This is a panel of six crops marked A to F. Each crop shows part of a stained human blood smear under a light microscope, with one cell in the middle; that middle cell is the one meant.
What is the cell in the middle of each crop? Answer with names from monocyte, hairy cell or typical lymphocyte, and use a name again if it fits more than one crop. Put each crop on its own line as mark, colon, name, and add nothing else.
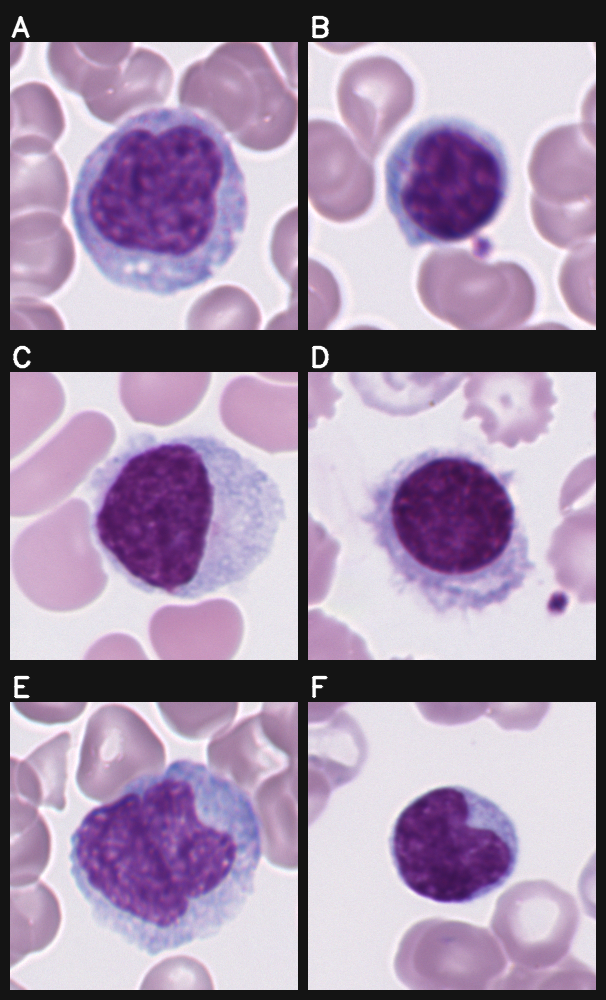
A: monocyte
B: typical lymphocyte
C: hairy cell
D: hairy cell
E: monocyte
F: typical lymphocyte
